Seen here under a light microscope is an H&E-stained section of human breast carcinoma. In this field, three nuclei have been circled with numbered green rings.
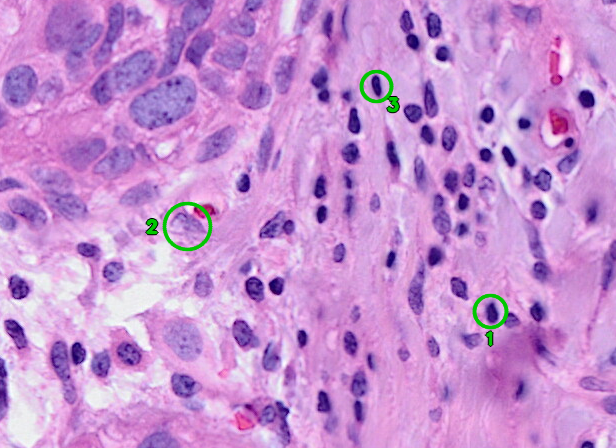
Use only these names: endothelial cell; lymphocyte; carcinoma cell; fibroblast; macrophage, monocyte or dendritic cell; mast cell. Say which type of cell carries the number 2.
endothelial cell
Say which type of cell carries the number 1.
lymphocyte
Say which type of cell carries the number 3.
lymphocyte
